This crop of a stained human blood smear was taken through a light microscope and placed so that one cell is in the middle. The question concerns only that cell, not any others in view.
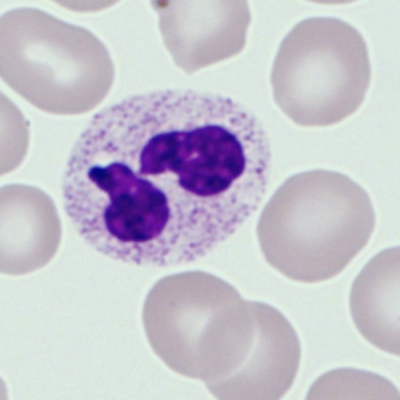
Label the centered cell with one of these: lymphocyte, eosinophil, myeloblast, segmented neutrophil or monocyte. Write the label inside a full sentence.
Among the cells in view, the one in the middle is a segmented neutrophil.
